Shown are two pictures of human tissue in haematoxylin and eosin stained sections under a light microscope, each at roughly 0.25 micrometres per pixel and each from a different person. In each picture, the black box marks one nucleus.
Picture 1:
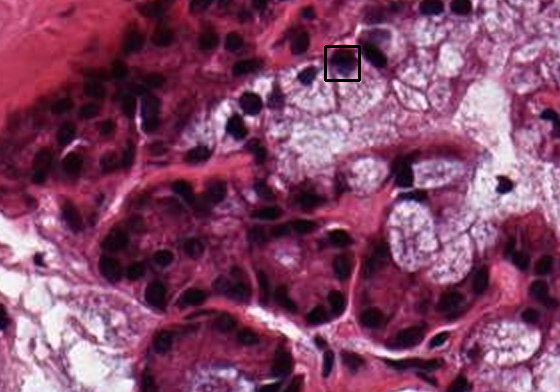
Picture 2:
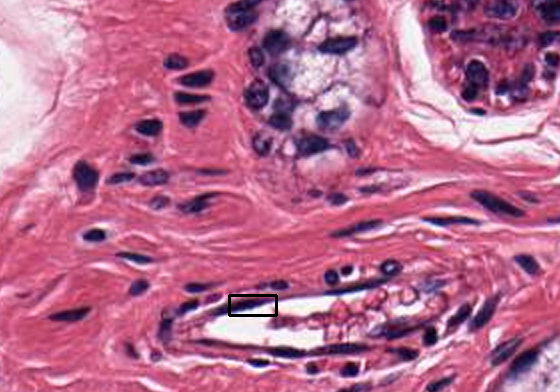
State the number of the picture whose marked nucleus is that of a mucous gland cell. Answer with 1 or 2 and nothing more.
1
